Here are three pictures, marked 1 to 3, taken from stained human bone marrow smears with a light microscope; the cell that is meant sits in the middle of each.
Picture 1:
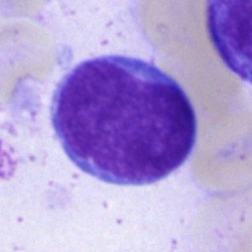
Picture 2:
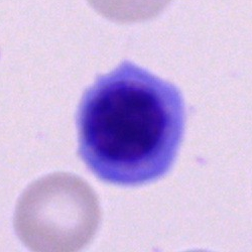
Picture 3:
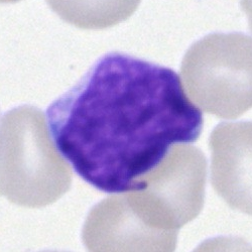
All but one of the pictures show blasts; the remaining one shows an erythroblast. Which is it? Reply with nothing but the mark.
2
